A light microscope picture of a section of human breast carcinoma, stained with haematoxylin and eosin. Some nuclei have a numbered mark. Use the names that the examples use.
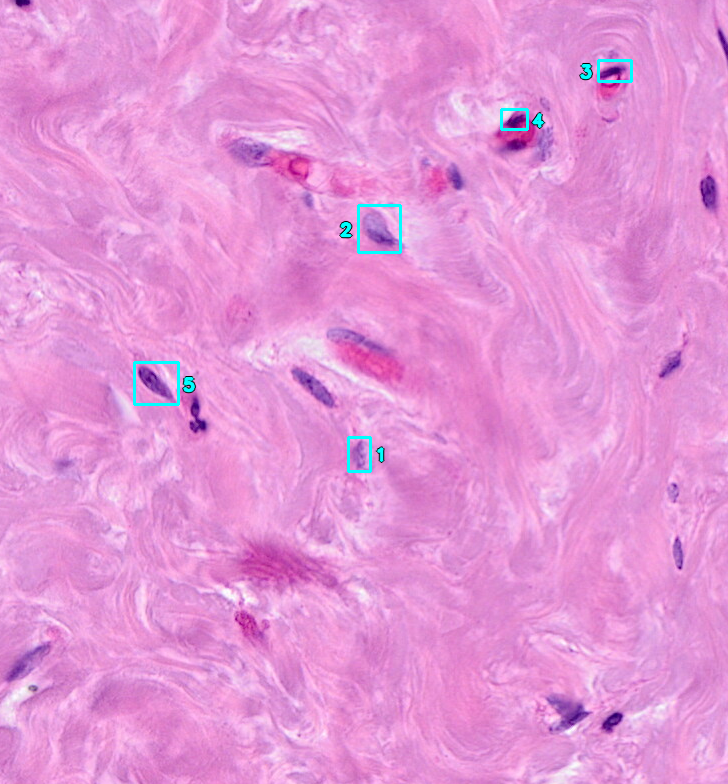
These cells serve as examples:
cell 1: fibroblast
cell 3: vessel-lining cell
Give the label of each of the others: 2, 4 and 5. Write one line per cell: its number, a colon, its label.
2: fibroblast
4: vessel-lining cell
5: fibroblast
